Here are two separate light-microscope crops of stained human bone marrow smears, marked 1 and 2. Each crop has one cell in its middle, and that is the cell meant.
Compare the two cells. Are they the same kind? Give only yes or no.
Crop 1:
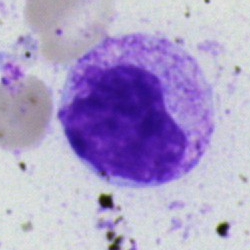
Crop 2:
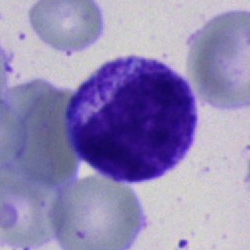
yes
